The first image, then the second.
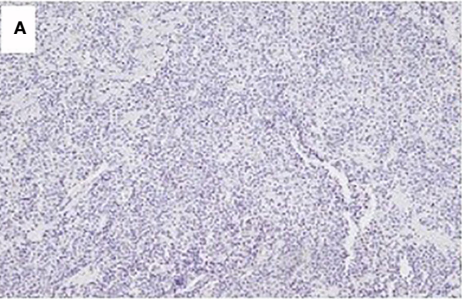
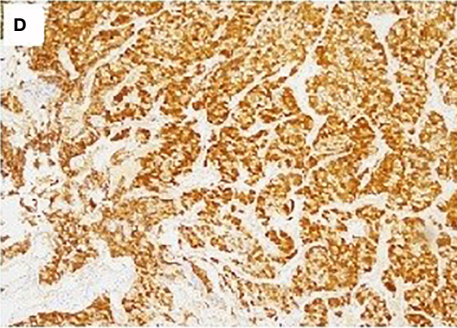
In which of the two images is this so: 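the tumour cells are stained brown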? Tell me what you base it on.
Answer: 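Second image: sheets and nests of tumour cells with strong brown staining. First image: tumour cells show only blue counterstain, no brown. On this evidence: the second image.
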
